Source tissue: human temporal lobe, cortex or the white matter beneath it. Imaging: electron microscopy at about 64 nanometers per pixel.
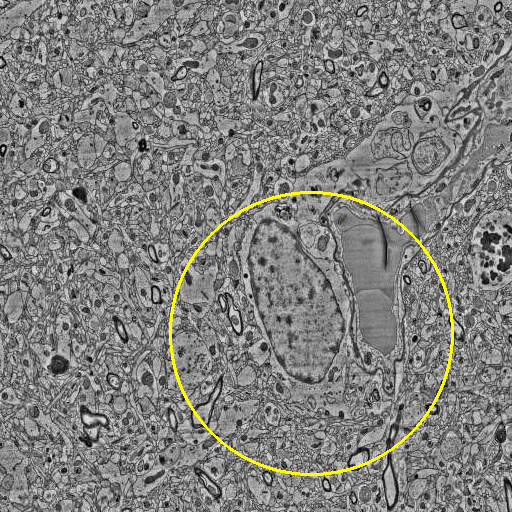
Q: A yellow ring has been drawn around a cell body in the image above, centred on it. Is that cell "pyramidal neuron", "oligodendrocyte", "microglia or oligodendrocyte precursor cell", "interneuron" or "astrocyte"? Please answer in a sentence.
The ring surrounds the cell body of a microglial cell or oligodendrocyte precursor cell.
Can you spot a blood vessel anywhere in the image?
Yes.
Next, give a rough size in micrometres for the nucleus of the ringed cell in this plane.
In this plane the nucleus measures about 11 by 5 micrometres and is clearly longer than it is wide.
